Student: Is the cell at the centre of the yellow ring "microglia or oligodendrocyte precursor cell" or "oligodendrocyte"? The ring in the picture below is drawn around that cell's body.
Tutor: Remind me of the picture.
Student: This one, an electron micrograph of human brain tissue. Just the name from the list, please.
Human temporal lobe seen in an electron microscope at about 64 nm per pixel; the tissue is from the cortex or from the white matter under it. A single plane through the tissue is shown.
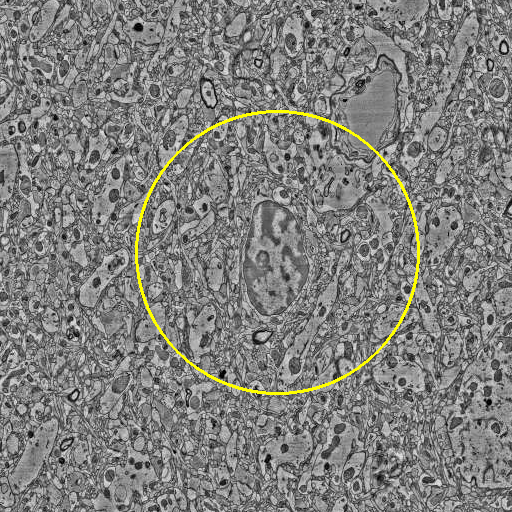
microglia or oligodendrocyte precursor cell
